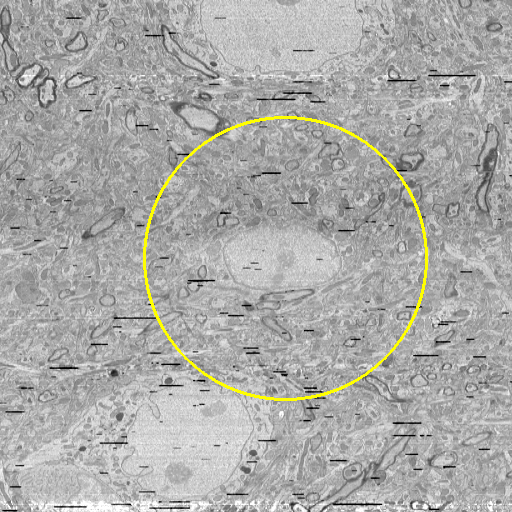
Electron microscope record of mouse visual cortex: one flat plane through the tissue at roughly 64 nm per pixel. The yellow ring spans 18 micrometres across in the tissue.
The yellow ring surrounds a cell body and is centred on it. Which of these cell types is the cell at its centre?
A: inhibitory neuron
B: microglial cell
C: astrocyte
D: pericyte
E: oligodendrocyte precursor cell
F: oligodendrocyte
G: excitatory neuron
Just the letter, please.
C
